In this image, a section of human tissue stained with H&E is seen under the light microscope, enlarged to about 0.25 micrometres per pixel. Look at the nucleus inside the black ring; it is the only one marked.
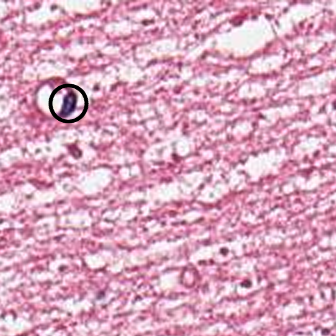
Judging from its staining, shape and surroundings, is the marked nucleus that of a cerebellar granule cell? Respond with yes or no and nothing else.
no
